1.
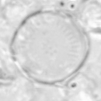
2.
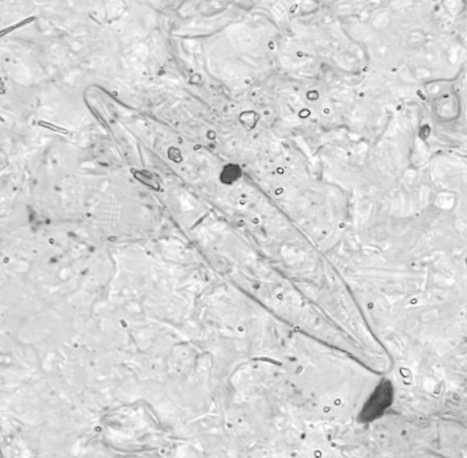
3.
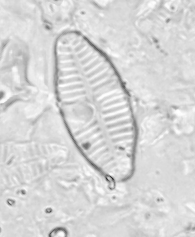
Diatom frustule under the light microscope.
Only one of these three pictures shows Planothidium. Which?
Picture 3.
